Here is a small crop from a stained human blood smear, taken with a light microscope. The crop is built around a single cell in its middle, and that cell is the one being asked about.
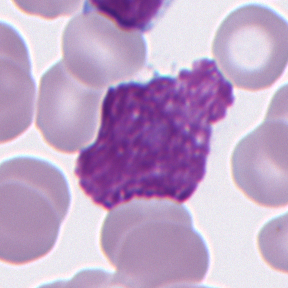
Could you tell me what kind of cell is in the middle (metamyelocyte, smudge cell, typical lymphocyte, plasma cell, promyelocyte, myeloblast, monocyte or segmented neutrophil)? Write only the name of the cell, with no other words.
smudge cell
